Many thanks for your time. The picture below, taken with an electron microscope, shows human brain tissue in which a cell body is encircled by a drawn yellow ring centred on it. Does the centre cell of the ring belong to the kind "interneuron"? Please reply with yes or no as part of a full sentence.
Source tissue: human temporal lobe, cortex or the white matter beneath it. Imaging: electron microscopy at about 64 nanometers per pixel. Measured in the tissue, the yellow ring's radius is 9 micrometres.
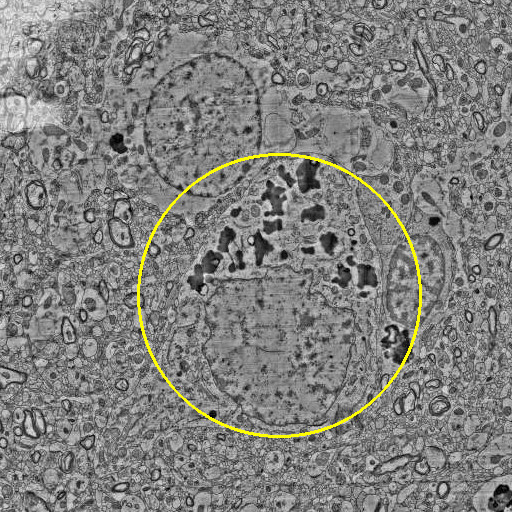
Yes, in the picture the cell at the ring's centre is of the kind you named.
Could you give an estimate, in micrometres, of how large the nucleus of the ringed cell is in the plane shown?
Roughly 11 micrometers across in this plane.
